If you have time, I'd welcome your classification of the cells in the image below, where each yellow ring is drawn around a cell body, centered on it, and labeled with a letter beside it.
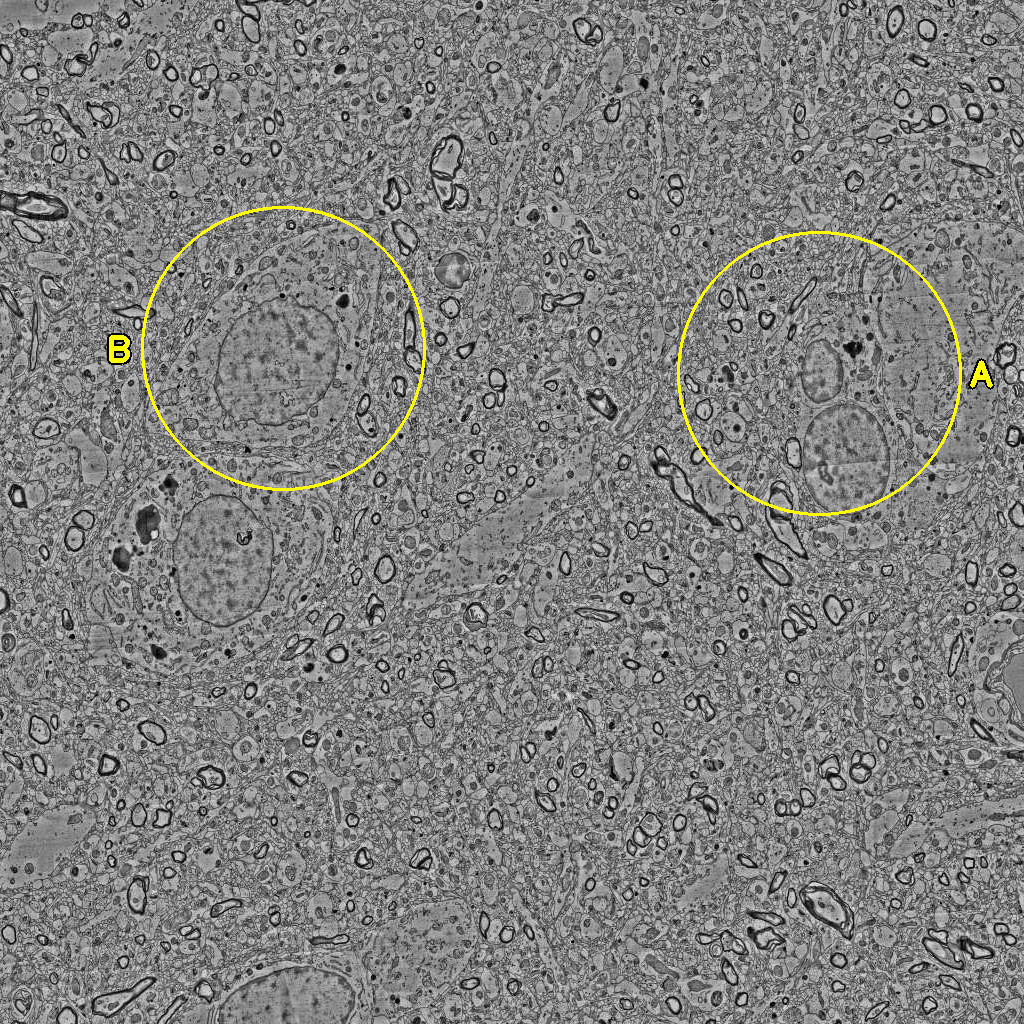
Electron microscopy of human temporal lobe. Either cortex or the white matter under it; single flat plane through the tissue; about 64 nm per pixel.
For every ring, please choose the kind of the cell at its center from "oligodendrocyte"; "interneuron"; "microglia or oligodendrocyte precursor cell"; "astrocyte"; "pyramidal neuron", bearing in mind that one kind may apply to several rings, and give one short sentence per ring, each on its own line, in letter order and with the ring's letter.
At the center of ring A is an oligodendrocyte.
At the center of ring B is a pyramidal neuron.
